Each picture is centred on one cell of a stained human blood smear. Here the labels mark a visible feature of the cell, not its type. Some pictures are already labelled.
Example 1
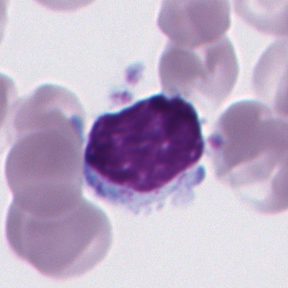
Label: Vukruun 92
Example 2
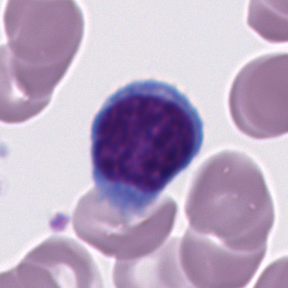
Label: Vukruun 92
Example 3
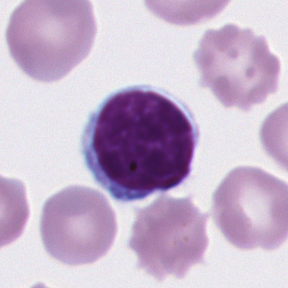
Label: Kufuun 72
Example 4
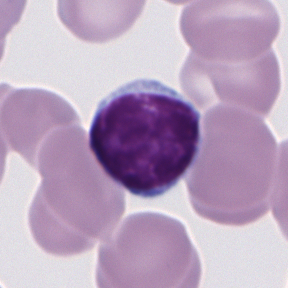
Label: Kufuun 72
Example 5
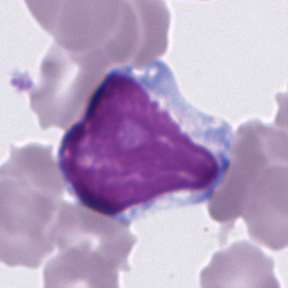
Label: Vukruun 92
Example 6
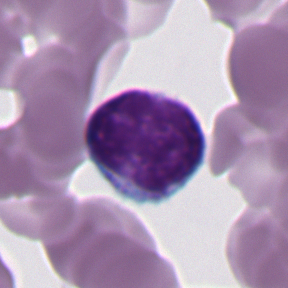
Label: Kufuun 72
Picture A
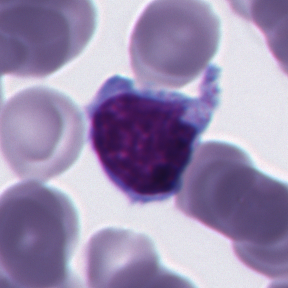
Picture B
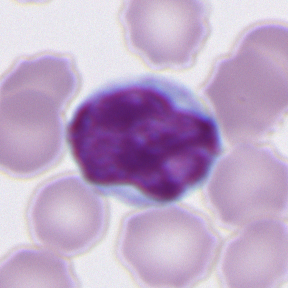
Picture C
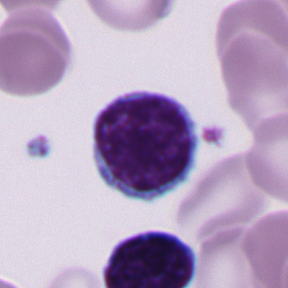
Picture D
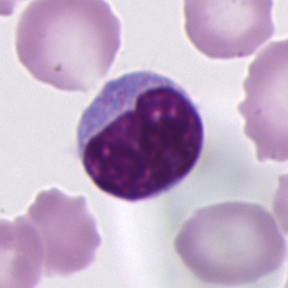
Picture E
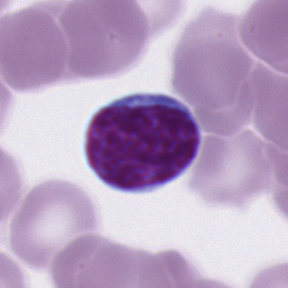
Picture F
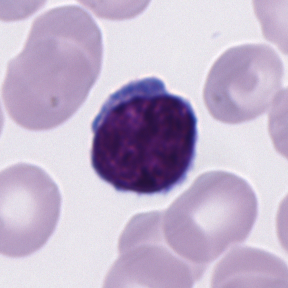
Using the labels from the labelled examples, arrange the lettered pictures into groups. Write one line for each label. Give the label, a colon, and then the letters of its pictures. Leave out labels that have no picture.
Vukruun 92: A
Kufuun 72: B, C, D, E, F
